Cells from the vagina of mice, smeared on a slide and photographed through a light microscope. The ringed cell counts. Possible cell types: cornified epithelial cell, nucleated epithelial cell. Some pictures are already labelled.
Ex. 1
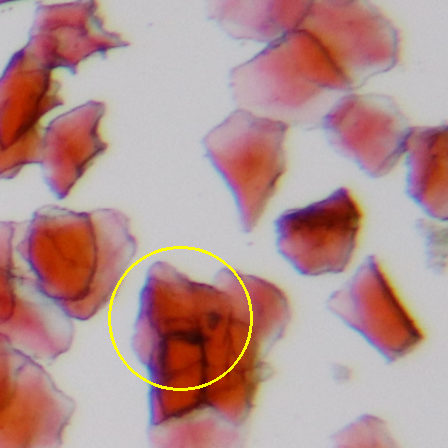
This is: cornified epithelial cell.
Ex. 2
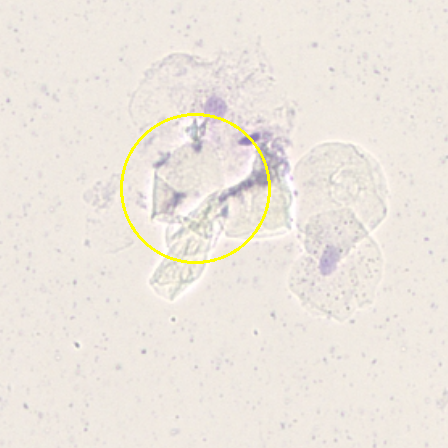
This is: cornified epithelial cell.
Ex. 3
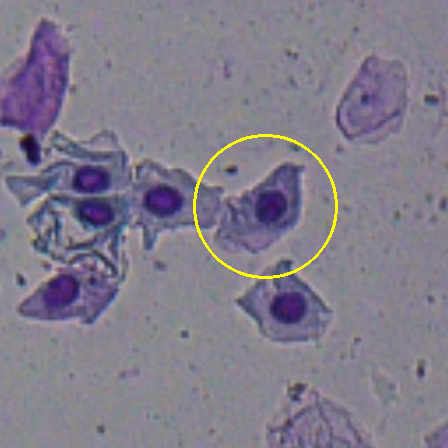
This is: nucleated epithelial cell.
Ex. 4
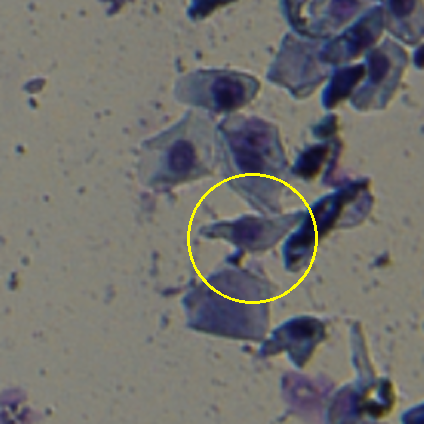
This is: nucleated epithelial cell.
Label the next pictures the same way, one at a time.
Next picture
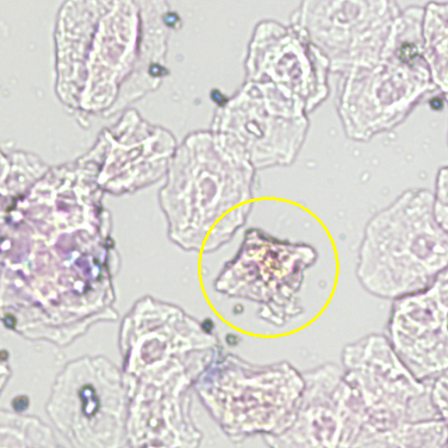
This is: cornified epithelial cell.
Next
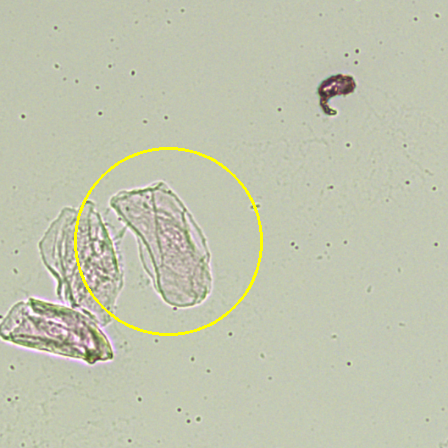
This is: cornified epithelial cell.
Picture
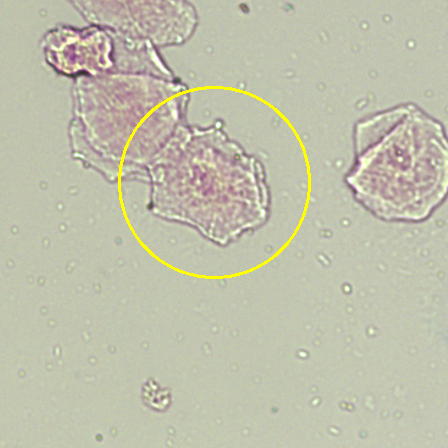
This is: cornified epithelial cell.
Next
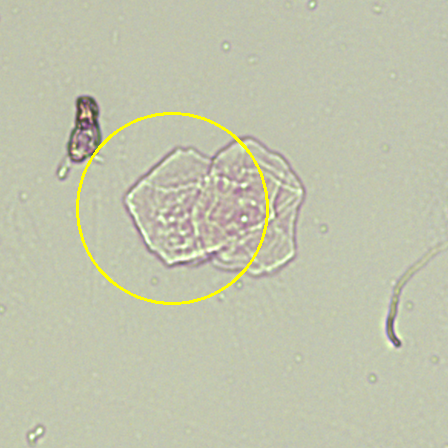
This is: cornified epithelial cell.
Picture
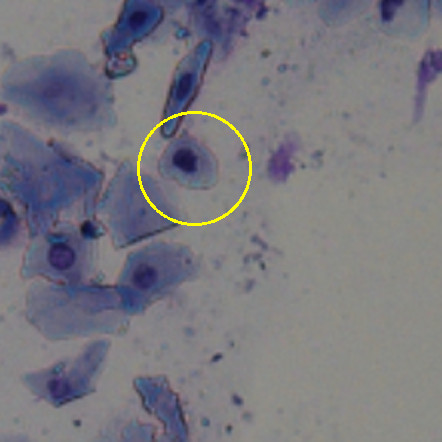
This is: nucleated epithelial cell.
